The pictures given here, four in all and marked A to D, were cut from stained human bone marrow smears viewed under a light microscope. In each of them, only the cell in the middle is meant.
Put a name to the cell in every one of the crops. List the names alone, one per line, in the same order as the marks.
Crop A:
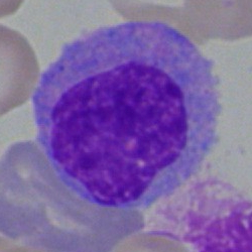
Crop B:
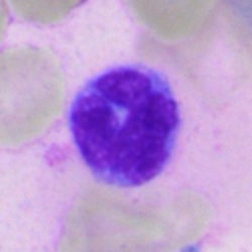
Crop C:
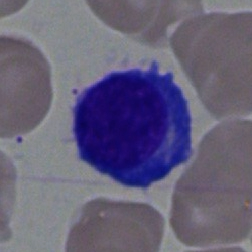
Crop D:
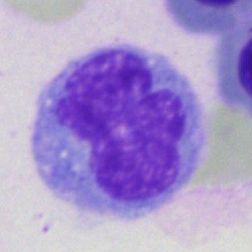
monocyte
monocyte
plasma cell
monocyte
